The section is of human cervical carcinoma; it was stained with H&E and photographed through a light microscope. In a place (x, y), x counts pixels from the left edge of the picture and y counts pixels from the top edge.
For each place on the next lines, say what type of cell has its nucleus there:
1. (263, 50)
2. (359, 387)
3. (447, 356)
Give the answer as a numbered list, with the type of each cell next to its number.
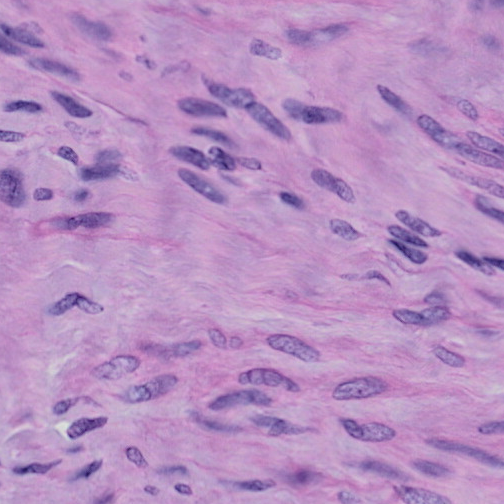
1. fibroblast
2. smooth muscle cell
3. smooth muscle cell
